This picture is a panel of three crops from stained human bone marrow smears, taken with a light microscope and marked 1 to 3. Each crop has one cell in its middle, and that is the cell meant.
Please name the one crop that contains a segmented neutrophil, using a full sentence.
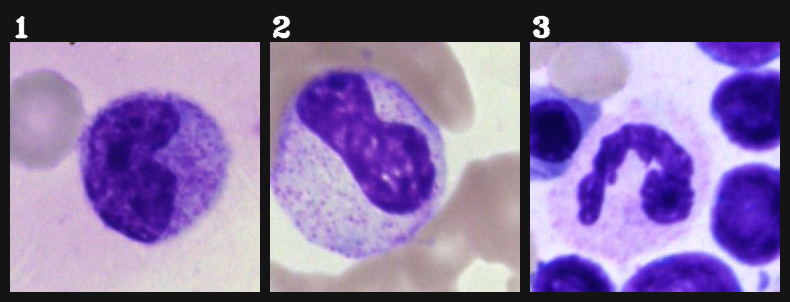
Crop 3, and no other, shows a segmented neutrophil.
